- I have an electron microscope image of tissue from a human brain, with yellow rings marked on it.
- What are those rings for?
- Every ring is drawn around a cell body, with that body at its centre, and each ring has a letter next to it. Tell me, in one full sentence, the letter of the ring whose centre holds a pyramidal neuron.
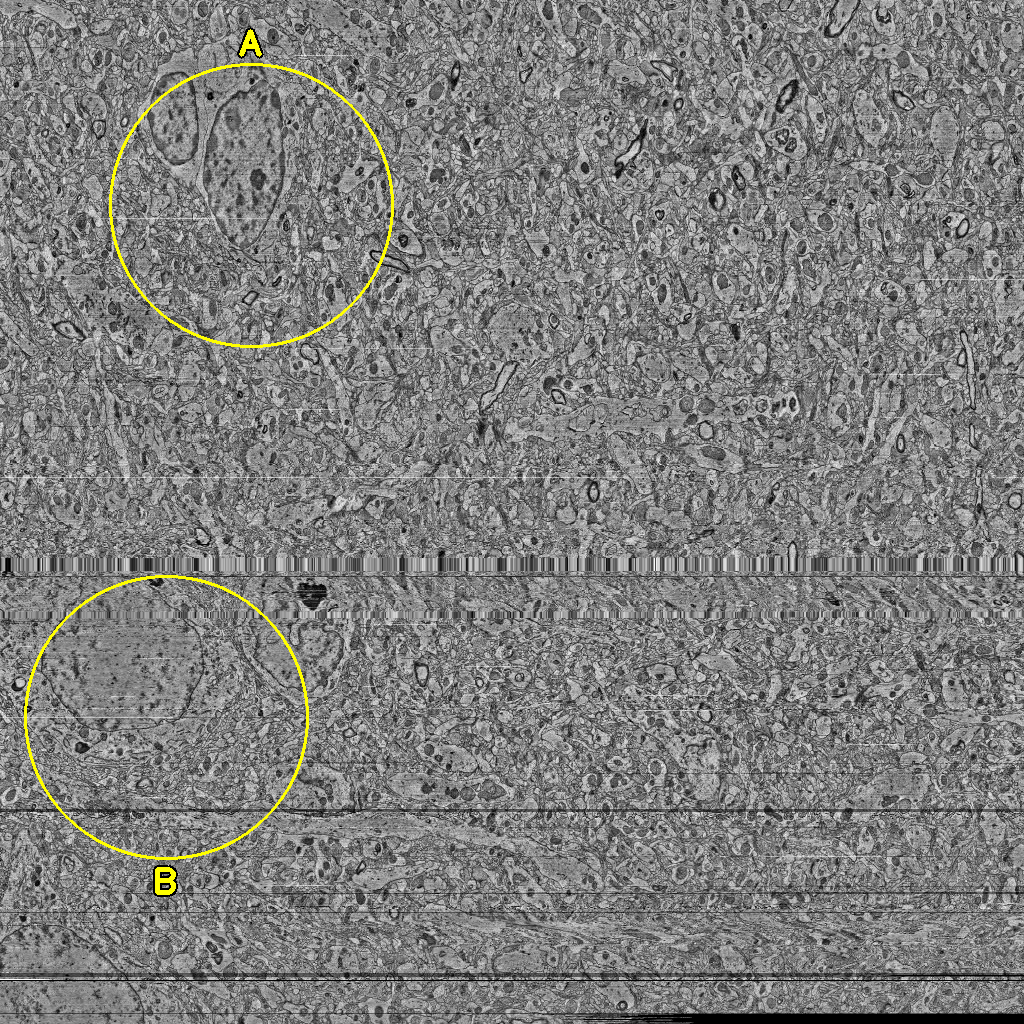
In the picture, the cell asked for sits at the centre of ring B.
